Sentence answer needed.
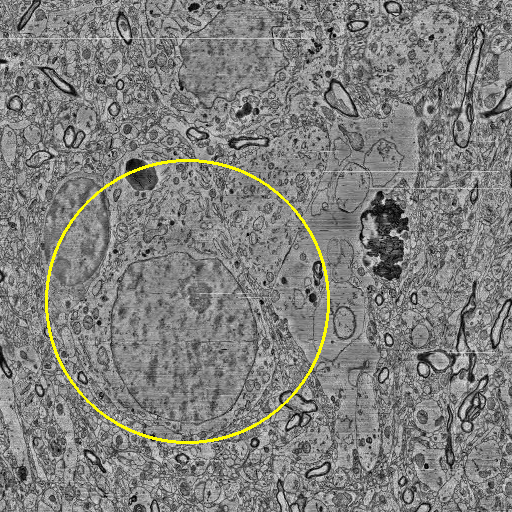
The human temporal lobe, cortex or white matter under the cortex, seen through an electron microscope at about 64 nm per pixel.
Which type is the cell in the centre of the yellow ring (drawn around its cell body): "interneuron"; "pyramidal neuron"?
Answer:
In the centre of the yellow ring is an interneuron.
